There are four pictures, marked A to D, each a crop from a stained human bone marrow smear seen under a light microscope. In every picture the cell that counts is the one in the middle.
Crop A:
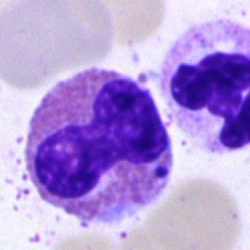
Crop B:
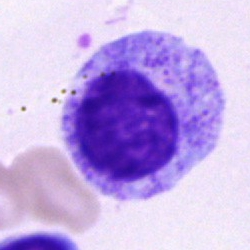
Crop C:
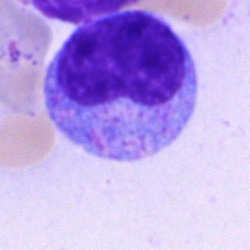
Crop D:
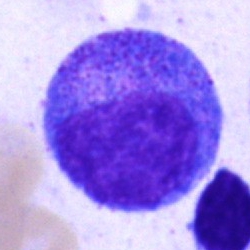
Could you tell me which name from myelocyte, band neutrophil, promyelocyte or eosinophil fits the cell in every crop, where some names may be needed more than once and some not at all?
A: eosinophil
B: myelocyte
C: myelocyte
D: promyelocyte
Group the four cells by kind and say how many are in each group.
myelocyte: 2
eosinophil: 1
promyelocyte: 1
